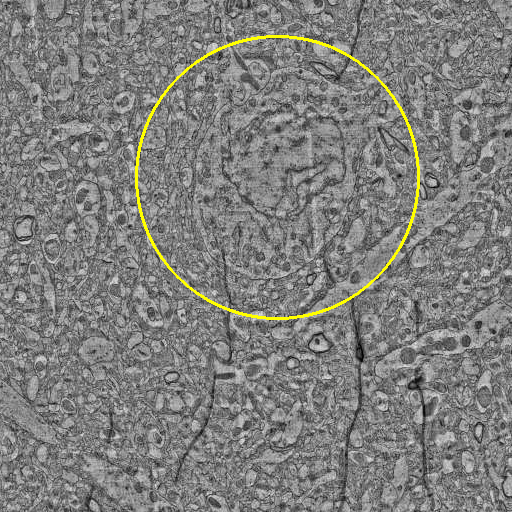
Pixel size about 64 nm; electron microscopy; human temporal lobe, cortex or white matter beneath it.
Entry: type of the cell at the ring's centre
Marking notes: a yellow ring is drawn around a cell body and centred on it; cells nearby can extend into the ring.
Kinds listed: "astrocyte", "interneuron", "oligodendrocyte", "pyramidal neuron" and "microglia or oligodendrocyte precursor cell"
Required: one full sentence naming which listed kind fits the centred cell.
My entry names an interneuron as the cell whose body the yellow ring centres on.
